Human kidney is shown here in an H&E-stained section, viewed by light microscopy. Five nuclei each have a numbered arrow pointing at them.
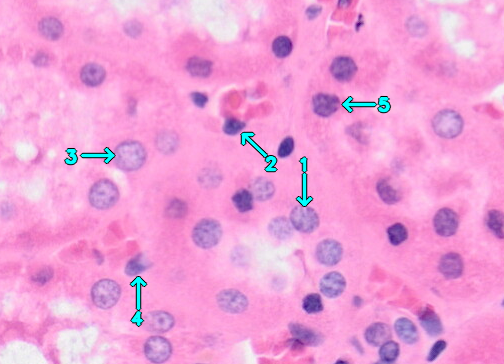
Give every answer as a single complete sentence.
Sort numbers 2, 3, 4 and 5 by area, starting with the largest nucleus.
From largest to smallest, the order is 3, 5, 4, 2.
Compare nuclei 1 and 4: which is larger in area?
Number 1 is larger; its area is about 1.5 times that of number 4.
